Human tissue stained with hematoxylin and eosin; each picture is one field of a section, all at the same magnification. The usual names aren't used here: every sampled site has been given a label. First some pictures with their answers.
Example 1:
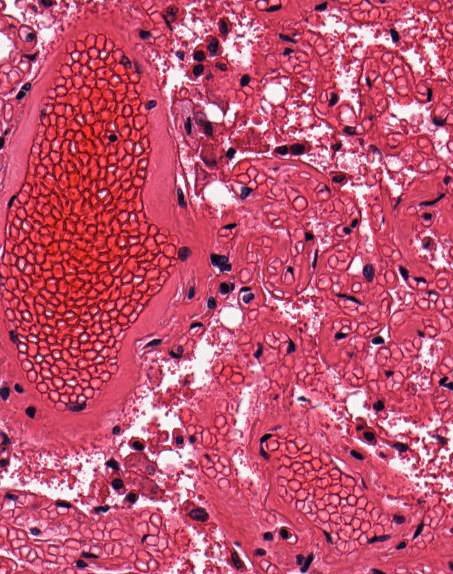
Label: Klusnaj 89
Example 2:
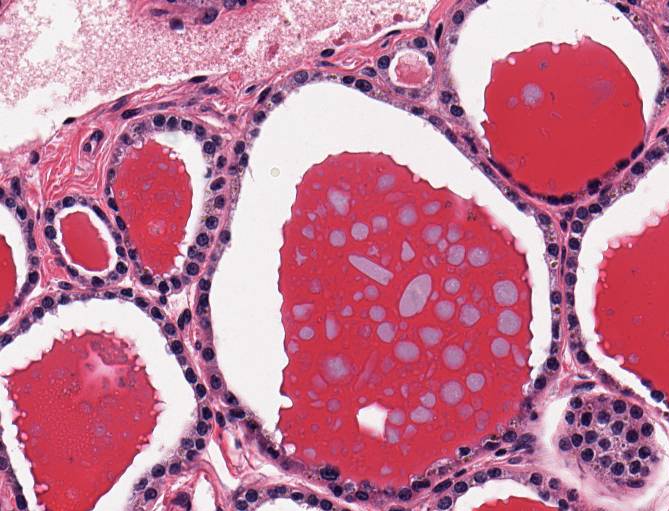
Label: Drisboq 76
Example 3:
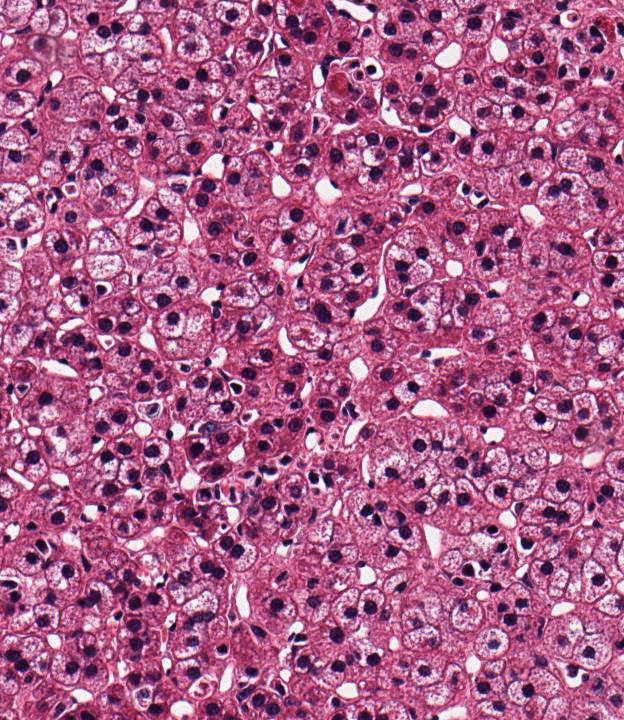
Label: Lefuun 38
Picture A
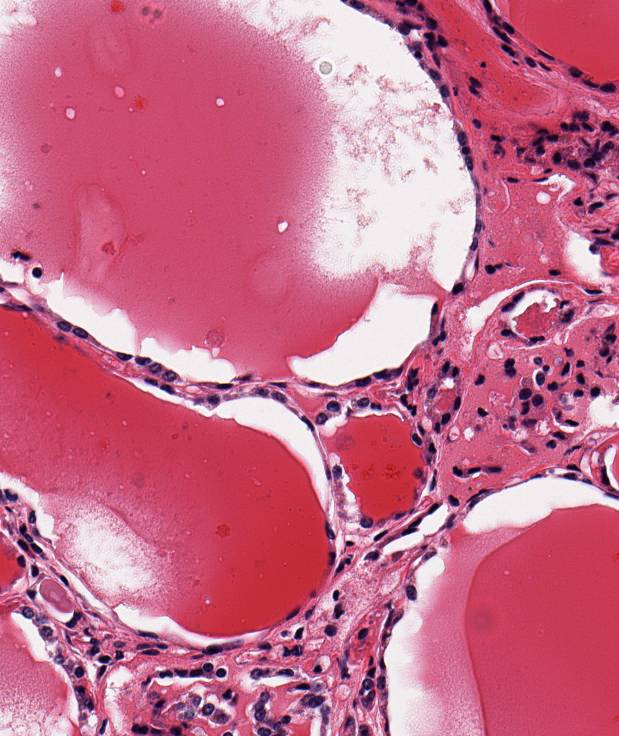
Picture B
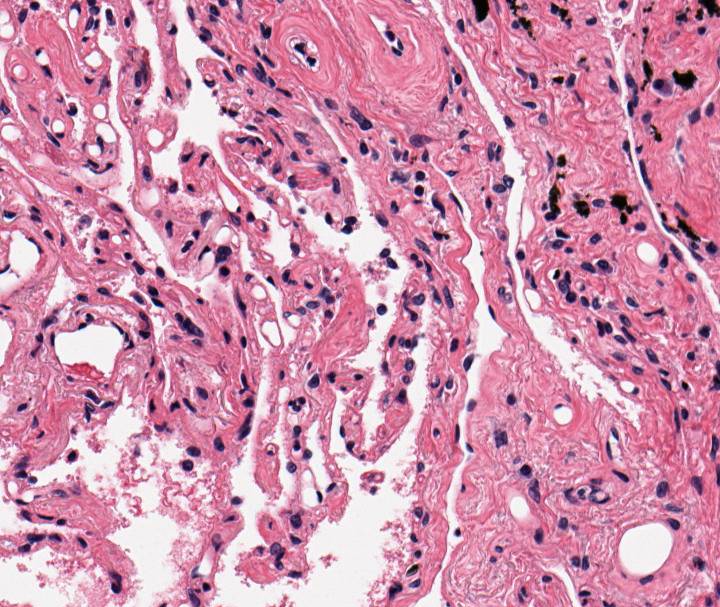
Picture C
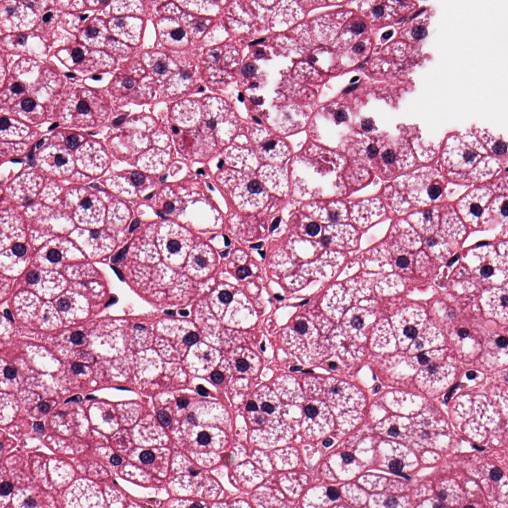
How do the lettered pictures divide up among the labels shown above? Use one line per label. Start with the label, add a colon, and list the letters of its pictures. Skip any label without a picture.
Klusnaj 89: B
Drisboq 76: A
Lefuun 38: C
